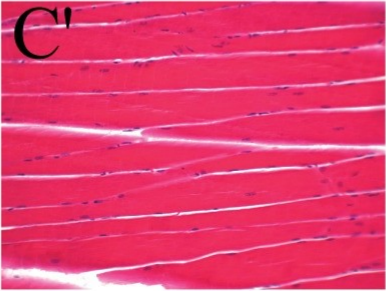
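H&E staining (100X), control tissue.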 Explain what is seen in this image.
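This is muscle tissue cut along its length, made of long, uniform pink fibres lying parallel to one another. The fibres are evenly stained and separated only by thin, clean white gaps. Flat, elongated, dark purple nuclei lie sparsely along the edges of the fibres, and no fragmented fibres or crowded small nuclei are seen.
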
